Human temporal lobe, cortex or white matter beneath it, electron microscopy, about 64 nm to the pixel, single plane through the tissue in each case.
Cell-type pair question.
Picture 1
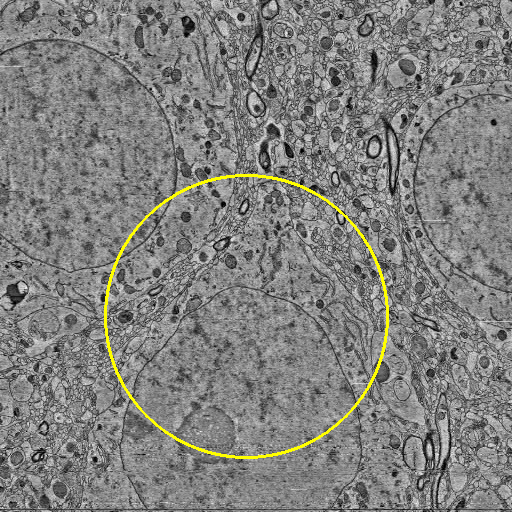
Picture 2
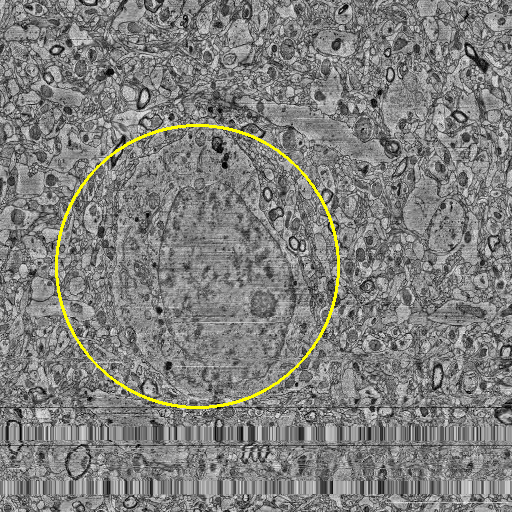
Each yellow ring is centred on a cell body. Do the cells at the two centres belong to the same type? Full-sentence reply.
No, the two cells belong to two types.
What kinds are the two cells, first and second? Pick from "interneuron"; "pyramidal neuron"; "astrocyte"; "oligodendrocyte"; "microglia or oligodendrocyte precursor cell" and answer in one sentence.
The second picture holds an interneuron in its ring, and the first holds a pyramidal neuron.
